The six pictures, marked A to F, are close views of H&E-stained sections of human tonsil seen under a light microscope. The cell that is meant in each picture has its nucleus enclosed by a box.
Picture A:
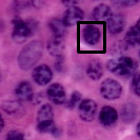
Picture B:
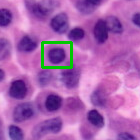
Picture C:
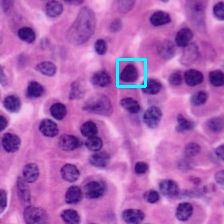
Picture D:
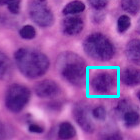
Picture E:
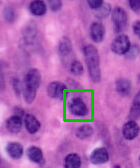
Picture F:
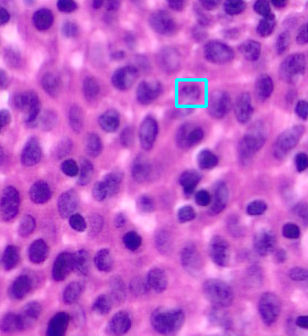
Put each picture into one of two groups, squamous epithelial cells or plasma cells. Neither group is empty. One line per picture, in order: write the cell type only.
plasma cell
plasma cell
plasma cell
squamous epithelial cell
plasma cell
squamous epithelial cell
